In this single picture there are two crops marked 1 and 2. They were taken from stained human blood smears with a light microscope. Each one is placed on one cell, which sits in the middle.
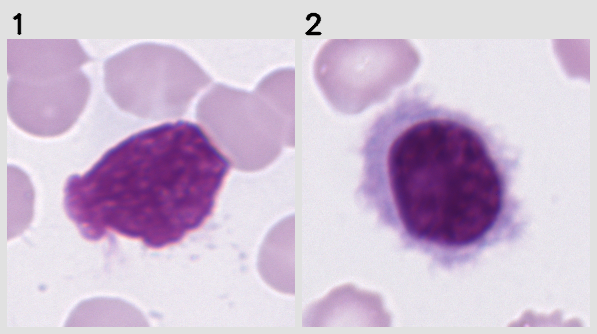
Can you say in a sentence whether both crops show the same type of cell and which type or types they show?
No, within crop 1 lies a smudge cell, and within crop 2 lies a hairy cell.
